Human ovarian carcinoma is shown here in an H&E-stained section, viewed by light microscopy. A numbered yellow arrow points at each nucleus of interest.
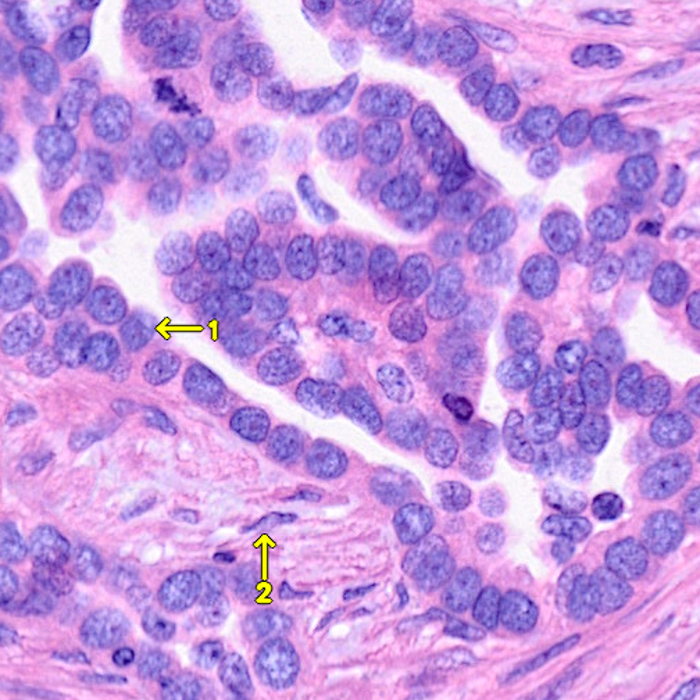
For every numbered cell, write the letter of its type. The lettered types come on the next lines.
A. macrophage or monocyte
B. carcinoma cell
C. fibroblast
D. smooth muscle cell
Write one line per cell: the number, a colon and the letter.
1: B
2: C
